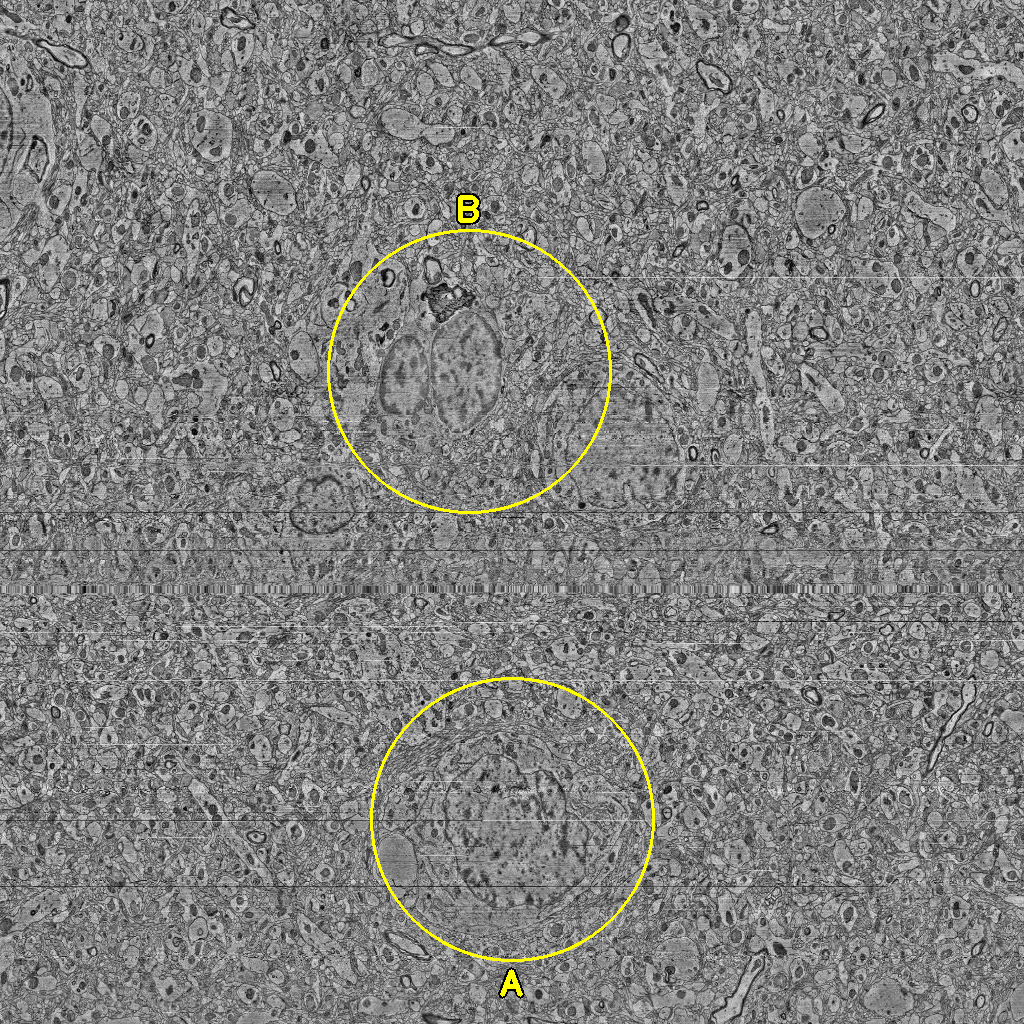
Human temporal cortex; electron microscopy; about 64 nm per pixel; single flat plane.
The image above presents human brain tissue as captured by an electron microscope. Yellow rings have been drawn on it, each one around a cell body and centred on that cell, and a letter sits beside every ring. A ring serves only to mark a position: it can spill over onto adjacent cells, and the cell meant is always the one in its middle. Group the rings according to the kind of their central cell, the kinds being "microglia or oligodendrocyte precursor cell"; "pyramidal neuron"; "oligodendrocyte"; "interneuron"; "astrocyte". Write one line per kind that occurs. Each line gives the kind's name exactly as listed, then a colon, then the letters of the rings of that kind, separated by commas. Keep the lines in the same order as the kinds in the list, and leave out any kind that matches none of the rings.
oligodendrocyte: B
interneuron: A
